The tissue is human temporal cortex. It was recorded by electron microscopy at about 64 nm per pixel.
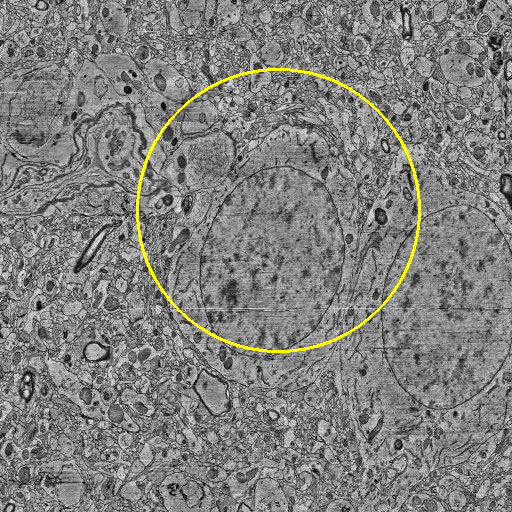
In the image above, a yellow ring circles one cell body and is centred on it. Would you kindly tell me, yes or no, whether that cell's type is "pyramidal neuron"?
yes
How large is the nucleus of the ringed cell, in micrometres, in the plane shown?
About 13 micrometres by about 9 micrometres in this plane.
